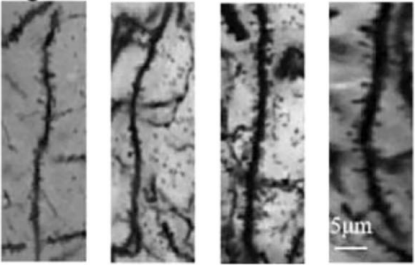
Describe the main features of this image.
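Four narrow strips each show a single black-stained dendrite segment of a neuron running lengthwise against a pale grey background. Short small protrusions, the dendritic spines, project from the sides of each dendrite, more closely set on some segments than on others.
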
